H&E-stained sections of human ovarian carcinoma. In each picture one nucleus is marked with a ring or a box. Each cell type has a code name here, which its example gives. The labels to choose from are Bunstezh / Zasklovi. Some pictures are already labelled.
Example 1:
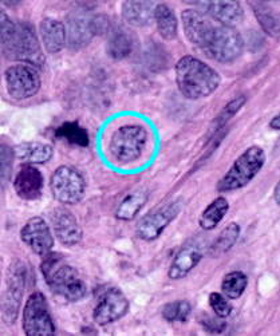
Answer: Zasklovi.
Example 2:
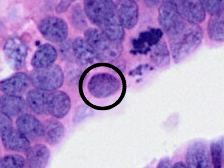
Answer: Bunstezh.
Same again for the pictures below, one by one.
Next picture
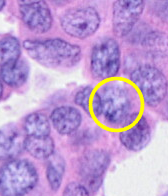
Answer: Bunstezh.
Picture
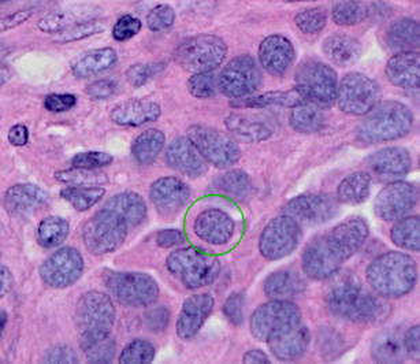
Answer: Bunstezh.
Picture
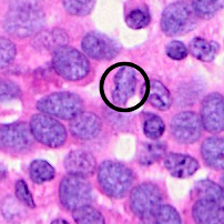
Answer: Zasklovi.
